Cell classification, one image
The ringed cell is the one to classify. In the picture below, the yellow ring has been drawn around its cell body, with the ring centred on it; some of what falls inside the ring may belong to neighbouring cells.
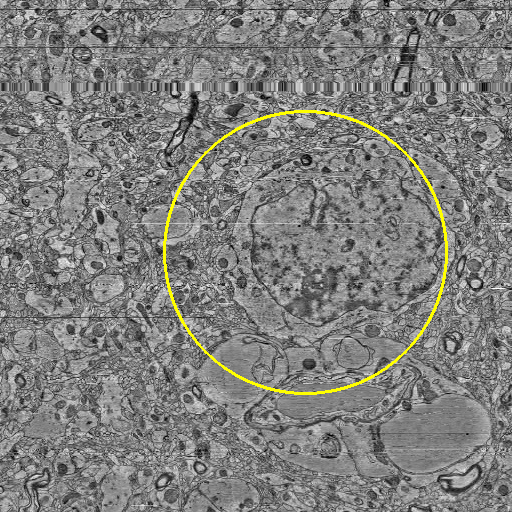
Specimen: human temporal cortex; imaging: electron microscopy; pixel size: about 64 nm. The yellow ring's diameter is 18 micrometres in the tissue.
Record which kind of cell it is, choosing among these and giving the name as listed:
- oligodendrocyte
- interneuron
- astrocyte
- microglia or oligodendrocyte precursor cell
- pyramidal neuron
interneuron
